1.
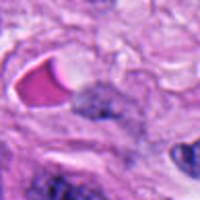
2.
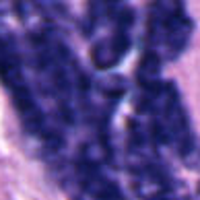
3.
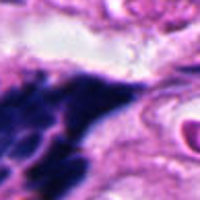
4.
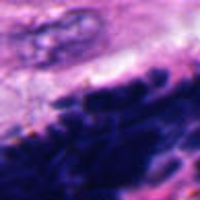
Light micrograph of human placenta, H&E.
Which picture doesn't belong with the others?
Picture 1.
